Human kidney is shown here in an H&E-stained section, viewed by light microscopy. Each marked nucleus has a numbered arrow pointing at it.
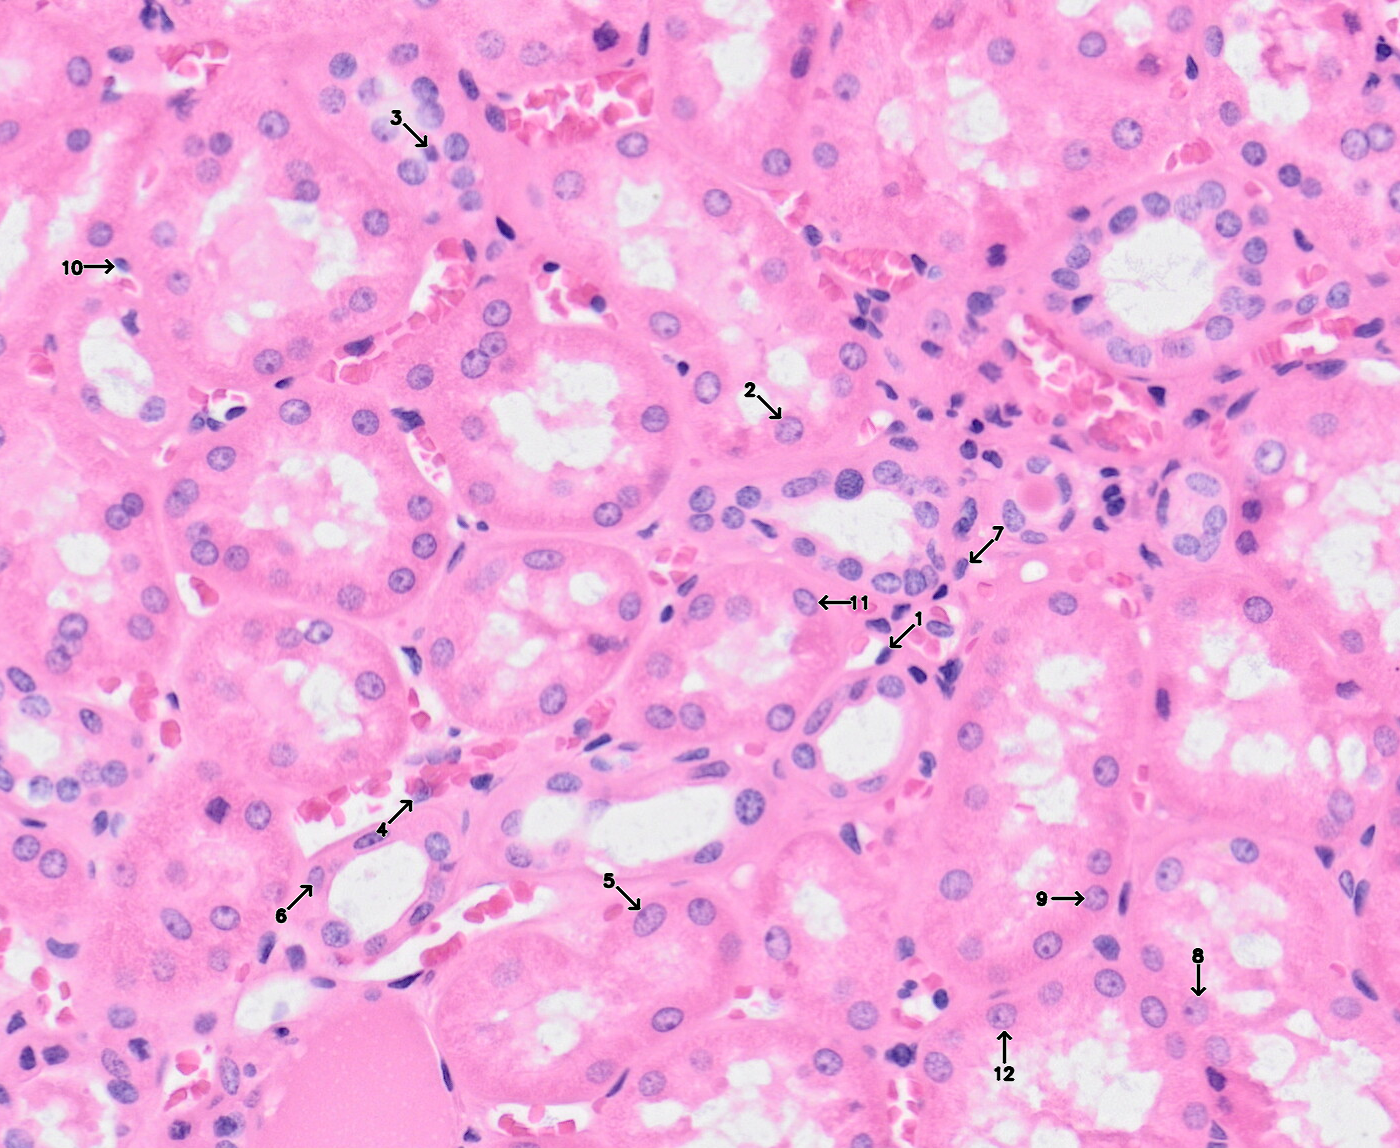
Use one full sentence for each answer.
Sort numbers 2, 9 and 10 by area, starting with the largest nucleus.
From largest to smallest, the order is 2, 9, 10.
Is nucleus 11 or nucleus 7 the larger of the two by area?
The larger nucleus is 11, at roughly 2 times the area of 7.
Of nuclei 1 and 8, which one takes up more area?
Nucleus 8 is larger, with an area about 2.5 times that of nucleus 1.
